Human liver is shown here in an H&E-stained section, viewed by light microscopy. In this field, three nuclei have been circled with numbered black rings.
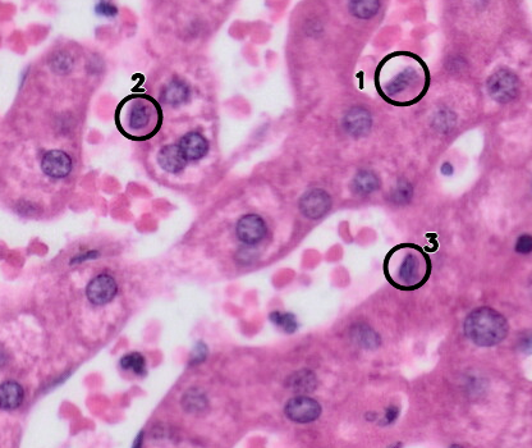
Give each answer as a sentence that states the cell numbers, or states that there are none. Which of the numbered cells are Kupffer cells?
On this slide, the cells numbered 1 and 2 are Kupffer cells.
